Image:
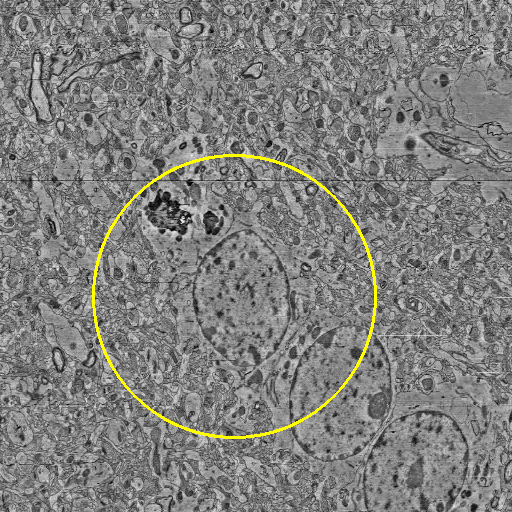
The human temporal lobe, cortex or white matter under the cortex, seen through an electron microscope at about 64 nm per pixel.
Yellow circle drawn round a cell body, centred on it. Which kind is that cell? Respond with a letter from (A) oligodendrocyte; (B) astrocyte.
B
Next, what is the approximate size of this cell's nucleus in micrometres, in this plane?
The nucleus of the ringed cell is approximately 9 by 6 micrometres in this plane.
